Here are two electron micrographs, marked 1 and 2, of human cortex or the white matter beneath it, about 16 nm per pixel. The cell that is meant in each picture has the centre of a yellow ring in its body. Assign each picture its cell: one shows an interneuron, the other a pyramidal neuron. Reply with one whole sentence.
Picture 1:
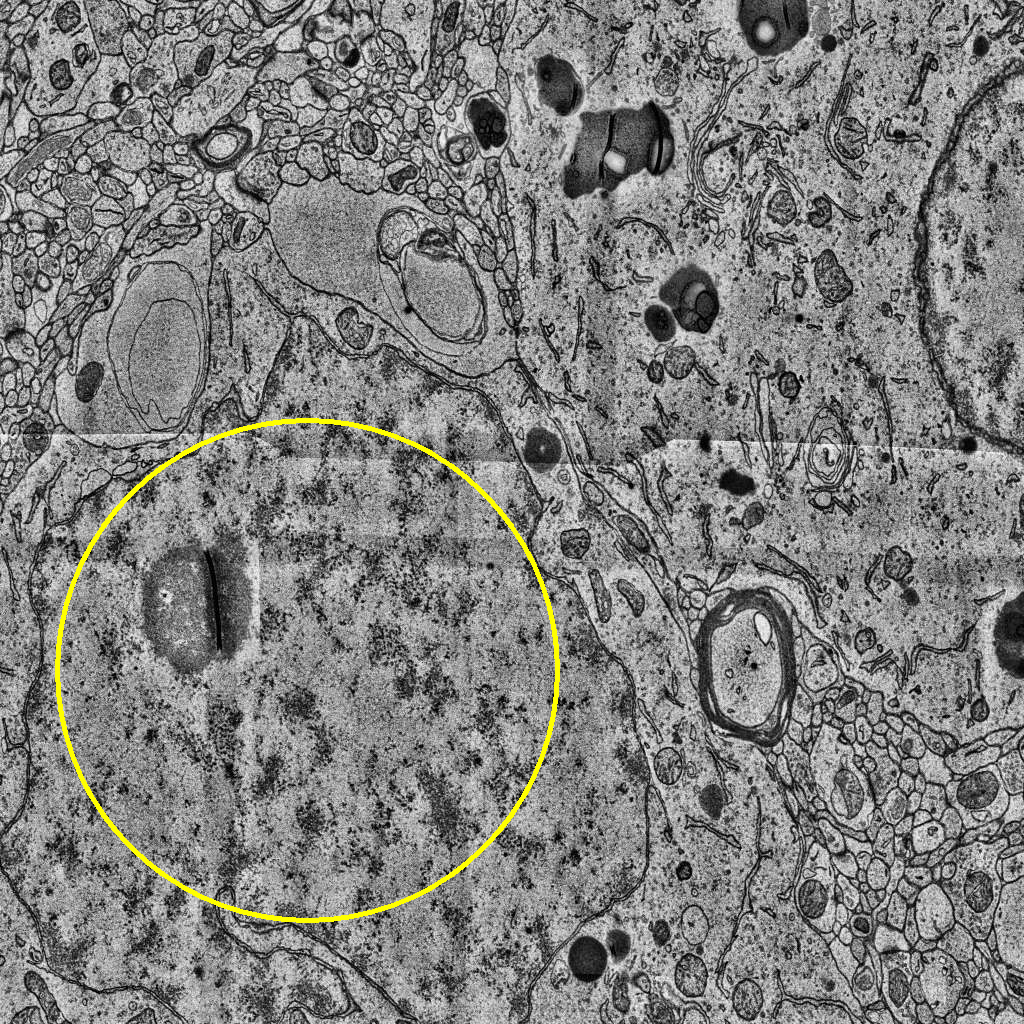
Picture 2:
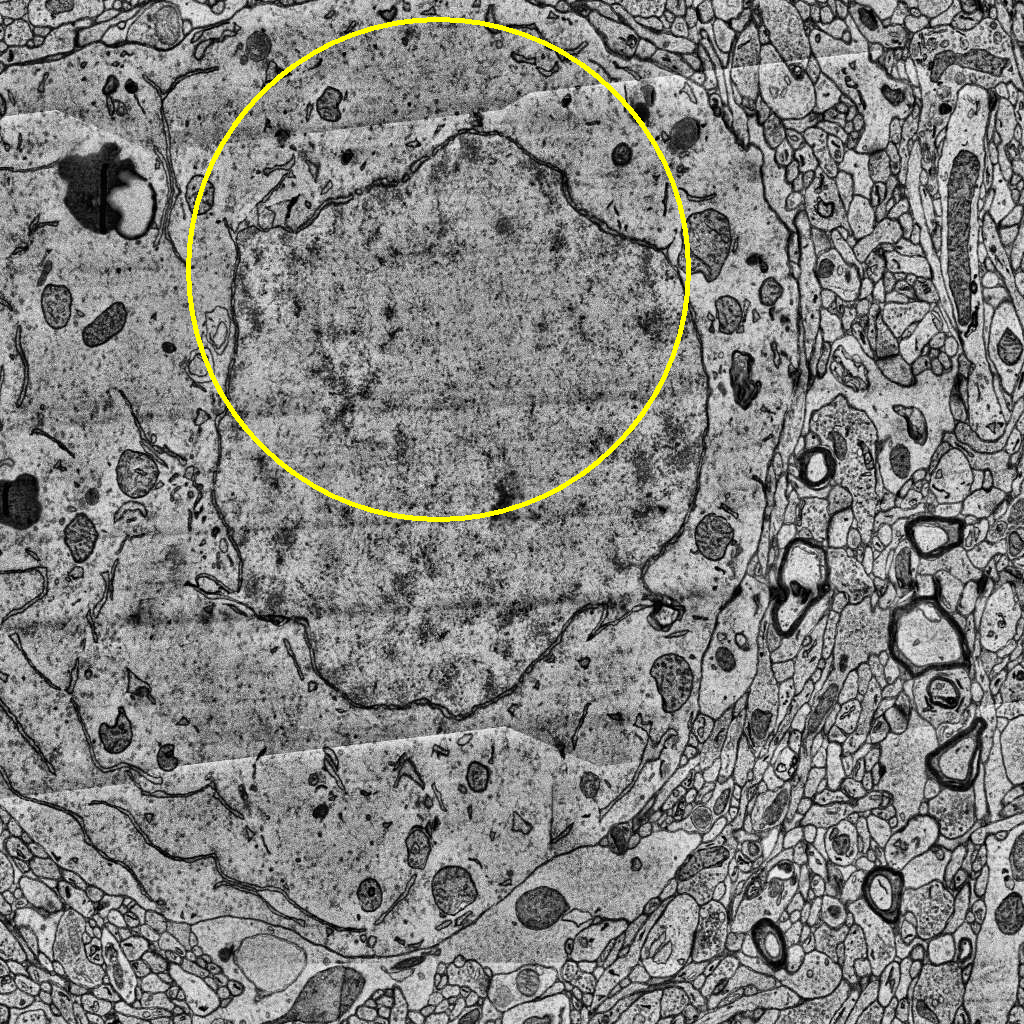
In picture 1 the cell is an interneuron; in picture 2, a pyramidal neuron.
